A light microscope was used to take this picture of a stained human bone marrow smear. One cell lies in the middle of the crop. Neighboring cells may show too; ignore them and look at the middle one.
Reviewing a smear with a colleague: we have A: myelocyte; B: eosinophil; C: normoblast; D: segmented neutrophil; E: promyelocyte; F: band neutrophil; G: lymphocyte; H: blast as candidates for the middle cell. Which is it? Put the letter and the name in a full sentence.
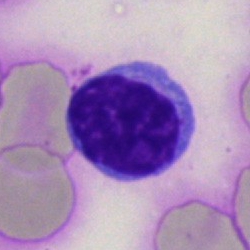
That middle cell is a lymphocyte, and option G is therefore correct.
